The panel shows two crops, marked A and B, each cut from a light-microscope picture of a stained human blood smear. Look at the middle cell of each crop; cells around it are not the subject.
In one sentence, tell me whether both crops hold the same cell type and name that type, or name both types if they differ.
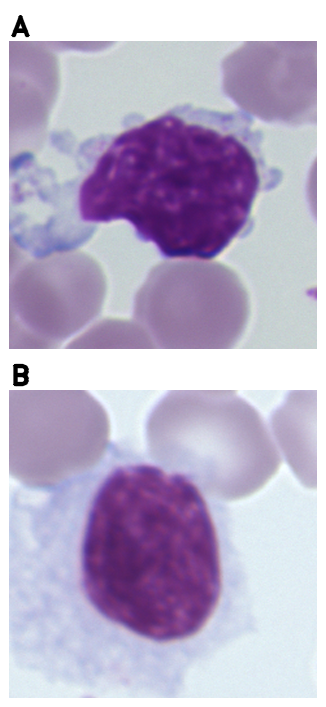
No, crop A displays a large granular lymphocyte and crop B displays a hairy cell.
